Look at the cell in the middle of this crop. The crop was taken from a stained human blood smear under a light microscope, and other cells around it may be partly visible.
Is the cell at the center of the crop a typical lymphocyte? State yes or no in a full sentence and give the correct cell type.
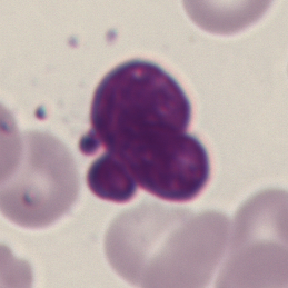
No, the central cell here is a smudge cell; calling it a typical lymphocyte is not right.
